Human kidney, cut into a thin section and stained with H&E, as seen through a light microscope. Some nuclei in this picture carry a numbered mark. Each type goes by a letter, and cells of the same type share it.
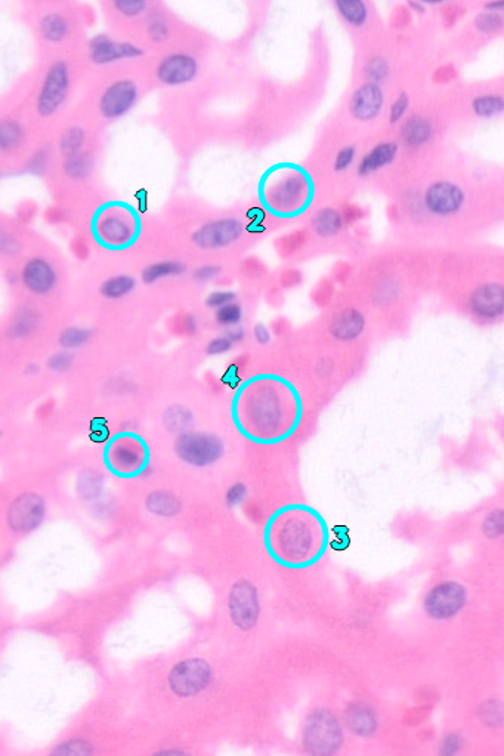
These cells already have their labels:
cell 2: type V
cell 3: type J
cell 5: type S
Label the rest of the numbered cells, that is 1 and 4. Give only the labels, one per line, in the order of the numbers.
type V
type J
